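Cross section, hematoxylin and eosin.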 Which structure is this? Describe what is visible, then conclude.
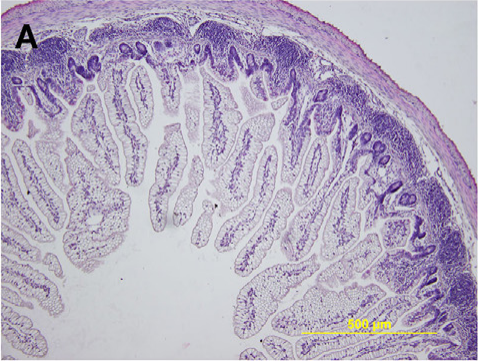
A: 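Many finger-like projections extend from the wall toward the lumen. The answer: villi.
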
